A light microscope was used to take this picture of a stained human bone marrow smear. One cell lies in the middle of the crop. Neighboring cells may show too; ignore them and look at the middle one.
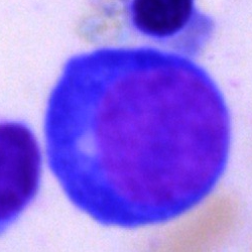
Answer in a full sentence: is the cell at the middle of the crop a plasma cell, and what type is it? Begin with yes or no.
No, the cell found centrally in the crop is a proerythroblast, not a plasma cell.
